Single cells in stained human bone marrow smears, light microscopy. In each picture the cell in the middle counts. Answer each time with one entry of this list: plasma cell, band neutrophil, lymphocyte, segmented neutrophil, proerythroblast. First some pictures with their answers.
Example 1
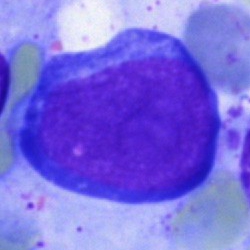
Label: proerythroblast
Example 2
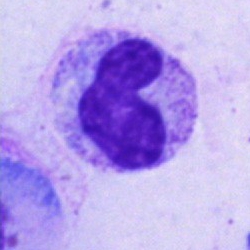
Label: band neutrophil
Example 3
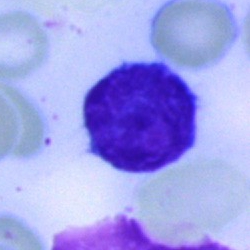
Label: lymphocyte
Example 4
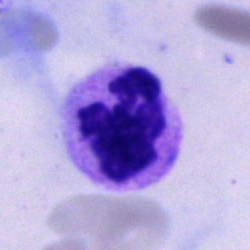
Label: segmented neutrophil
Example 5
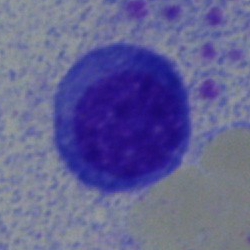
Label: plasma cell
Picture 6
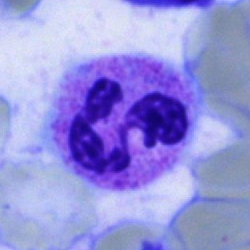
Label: segmented neutrophil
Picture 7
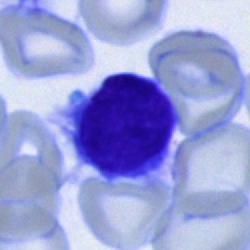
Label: lymphocyte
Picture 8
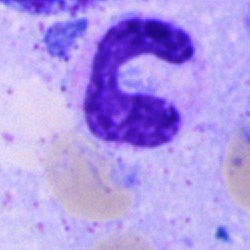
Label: band neutrophil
